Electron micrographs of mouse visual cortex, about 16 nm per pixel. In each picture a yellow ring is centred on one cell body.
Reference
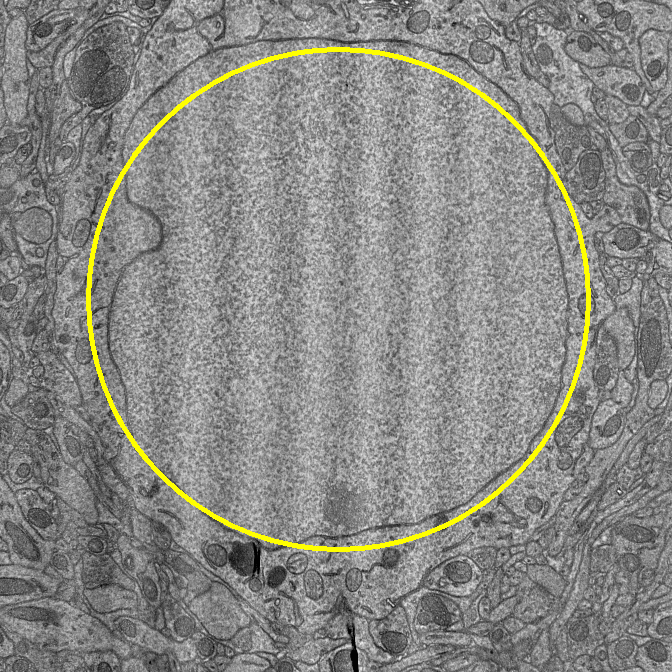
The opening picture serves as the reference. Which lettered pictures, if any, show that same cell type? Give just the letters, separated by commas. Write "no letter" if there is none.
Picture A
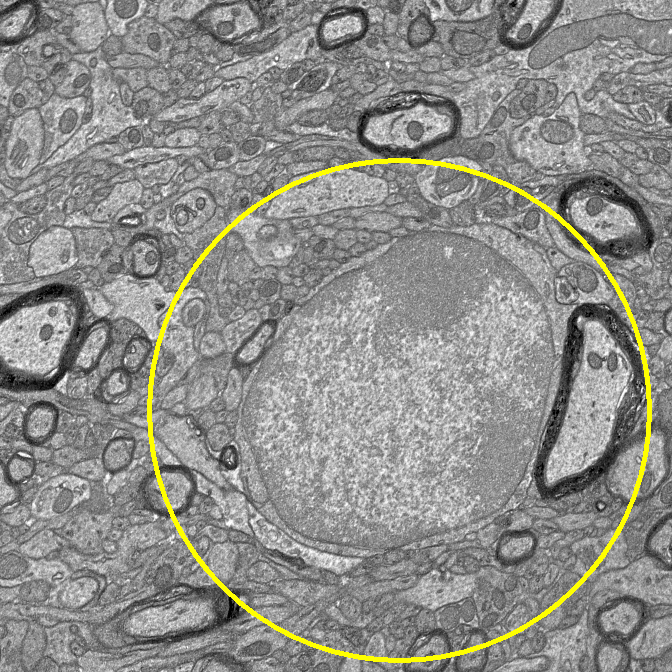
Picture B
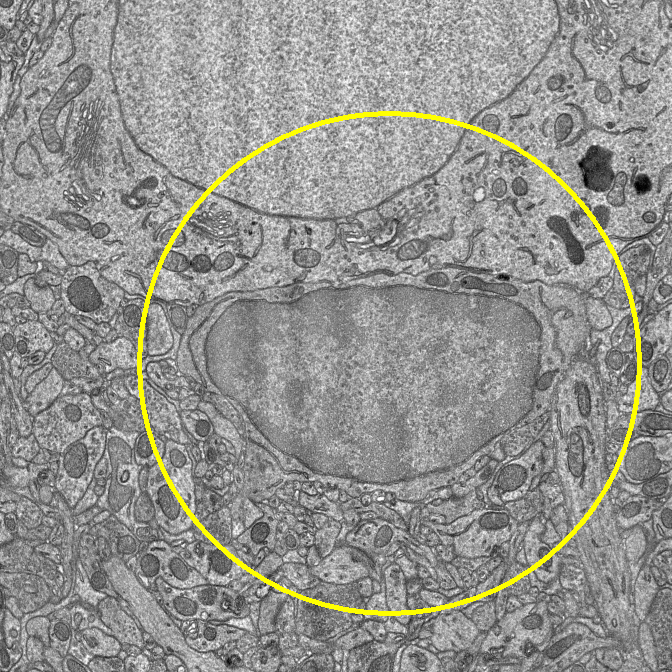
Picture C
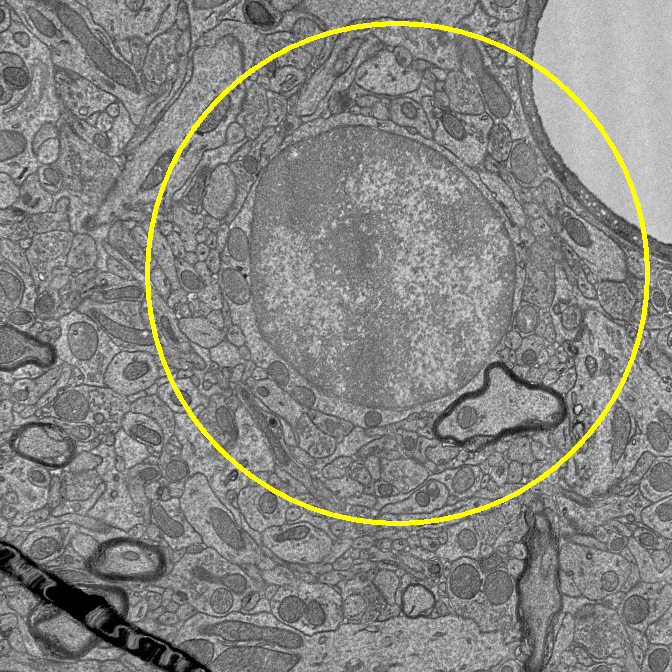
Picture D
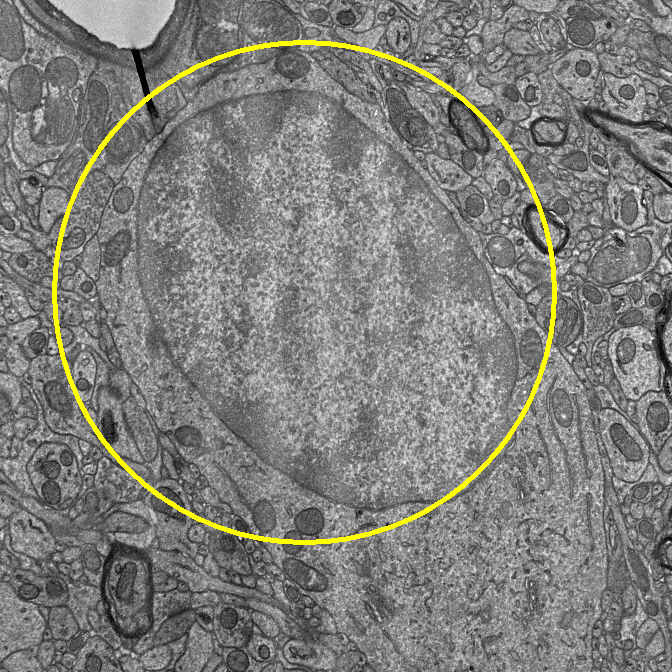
no letter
